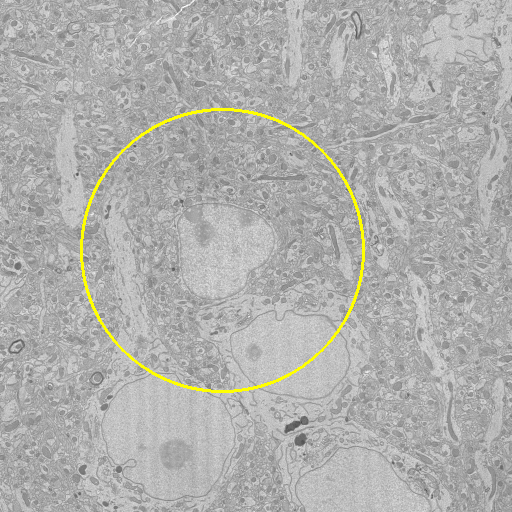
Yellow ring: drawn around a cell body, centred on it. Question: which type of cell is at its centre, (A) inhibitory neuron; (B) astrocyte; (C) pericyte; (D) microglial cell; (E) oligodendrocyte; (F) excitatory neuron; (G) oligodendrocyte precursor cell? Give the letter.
B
